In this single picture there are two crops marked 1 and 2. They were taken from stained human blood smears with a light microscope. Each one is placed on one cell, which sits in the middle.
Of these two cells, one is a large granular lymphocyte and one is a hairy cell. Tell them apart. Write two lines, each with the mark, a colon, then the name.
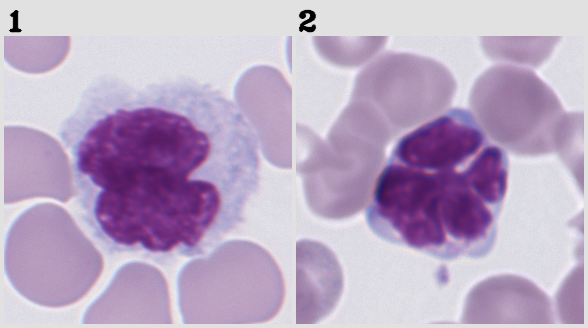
1: hairy cell
2: large granular lymphocyte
